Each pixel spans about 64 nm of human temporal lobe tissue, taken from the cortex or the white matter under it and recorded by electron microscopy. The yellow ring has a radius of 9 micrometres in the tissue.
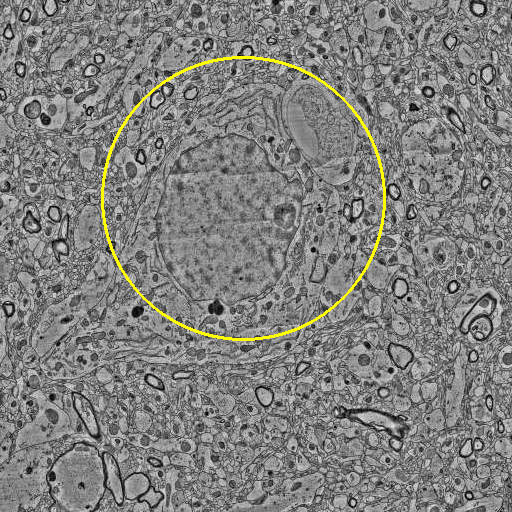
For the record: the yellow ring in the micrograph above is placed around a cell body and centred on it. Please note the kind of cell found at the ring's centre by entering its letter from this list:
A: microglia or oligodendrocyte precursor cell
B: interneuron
B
